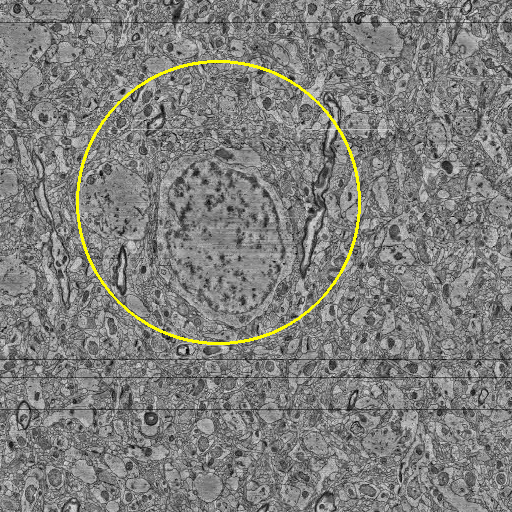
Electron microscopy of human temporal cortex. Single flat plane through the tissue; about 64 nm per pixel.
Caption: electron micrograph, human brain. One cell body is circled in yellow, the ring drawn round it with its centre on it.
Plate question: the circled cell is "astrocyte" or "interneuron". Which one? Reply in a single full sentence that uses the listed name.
The yellow ring on the plate is centred on an interneuron, going by the listed names.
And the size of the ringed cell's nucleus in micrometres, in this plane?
In this plane, roughly 10 by 8 micrometres.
